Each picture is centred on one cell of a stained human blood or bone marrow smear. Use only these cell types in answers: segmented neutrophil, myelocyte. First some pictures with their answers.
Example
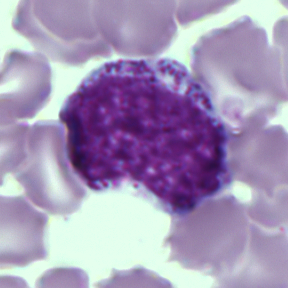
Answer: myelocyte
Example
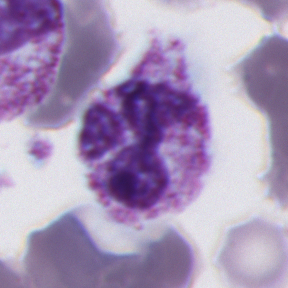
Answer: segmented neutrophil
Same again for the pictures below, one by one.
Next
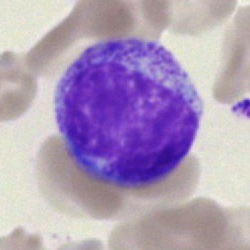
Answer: myelocyte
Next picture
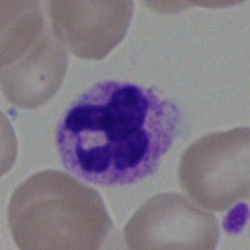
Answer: segmented neutrophil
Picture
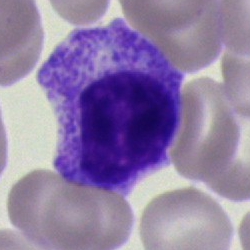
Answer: myelocyte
